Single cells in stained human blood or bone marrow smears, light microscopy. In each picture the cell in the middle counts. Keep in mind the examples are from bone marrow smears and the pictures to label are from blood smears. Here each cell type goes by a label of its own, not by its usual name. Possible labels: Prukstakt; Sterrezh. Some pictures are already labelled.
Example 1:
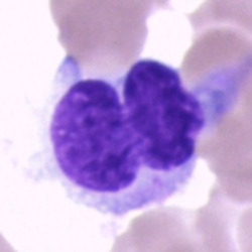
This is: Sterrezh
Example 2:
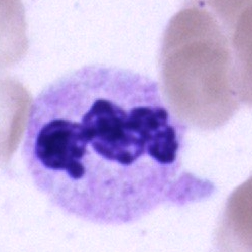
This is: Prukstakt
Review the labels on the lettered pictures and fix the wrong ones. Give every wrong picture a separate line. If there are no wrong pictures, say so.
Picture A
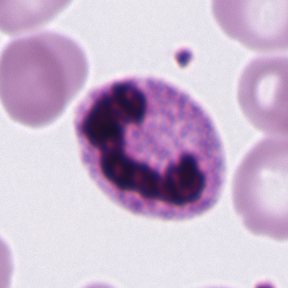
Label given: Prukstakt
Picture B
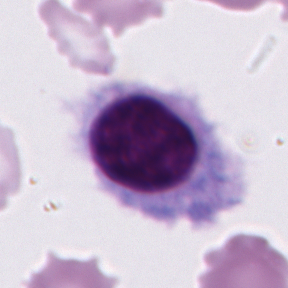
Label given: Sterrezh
All correct.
